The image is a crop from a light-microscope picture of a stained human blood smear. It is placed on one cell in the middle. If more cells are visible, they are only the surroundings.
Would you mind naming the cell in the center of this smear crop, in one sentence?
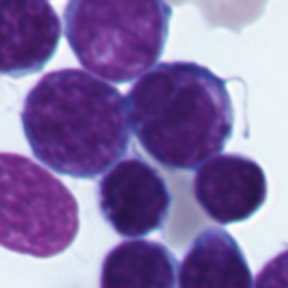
The cell marked by its central position in the crop is a myeloblast.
